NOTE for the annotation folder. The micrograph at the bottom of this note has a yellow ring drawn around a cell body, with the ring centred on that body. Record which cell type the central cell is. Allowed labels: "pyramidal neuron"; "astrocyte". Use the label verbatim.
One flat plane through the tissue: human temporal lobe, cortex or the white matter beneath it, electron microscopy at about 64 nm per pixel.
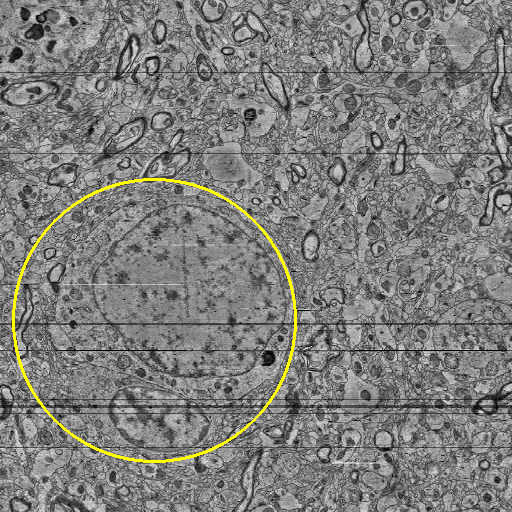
pyramidal neuron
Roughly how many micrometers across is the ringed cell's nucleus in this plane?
The nucleus is approximately 12 micrometers across in this plane.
